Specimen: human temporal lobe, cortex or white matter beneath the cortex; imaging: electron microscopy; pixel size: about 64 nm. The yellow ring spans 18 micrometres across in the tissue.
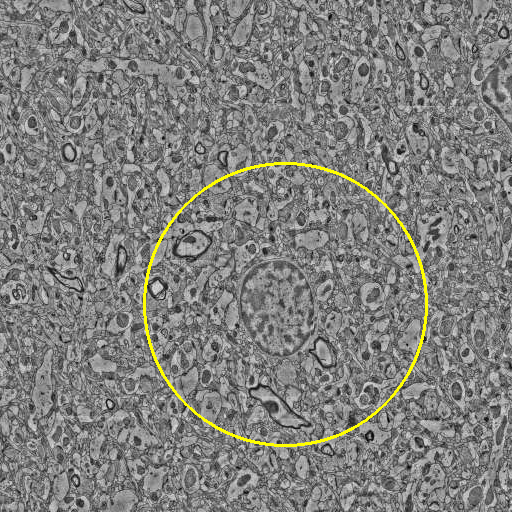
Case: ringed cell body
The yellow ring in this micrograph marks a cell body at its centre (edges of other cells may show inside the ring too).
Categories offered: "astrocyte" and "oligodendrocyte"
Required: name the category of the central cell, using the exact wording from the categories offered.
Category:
oligodendrocyte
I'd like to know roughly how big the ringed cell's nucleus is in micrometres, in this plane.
The nucleus is approximately 6 micrometers long by 5 micrometers wide in this plane.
